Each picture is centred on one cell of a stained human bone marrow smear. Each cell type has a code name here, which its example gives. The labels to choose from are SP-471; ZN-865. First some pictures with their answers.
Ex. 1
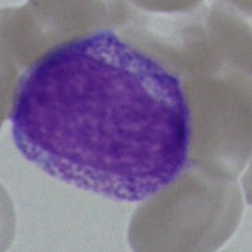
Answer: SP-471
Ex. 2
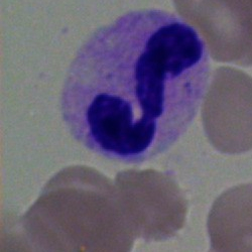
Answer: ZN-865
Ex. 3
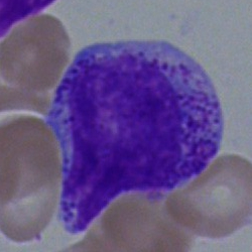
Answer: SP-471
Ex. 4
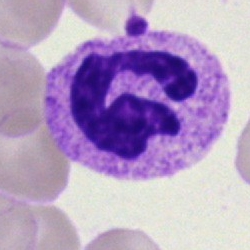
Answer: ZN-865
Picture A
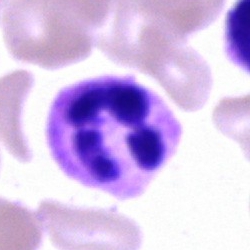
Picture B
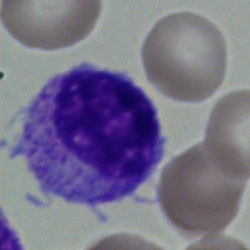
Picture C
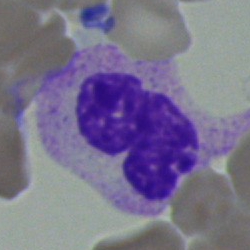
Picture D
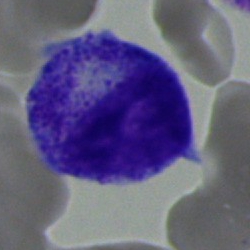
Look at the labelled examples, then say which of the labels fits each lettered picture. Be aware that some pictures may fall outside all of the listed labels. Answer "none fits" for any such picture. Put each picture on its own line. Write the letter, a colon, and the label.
A: ZN-865
B: SP-471
C: none fits
D: SP-471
